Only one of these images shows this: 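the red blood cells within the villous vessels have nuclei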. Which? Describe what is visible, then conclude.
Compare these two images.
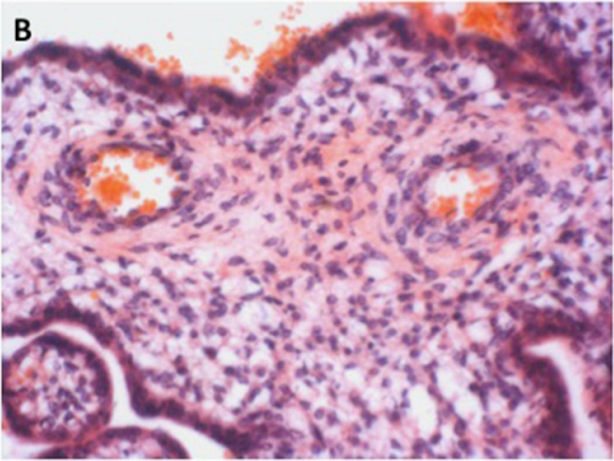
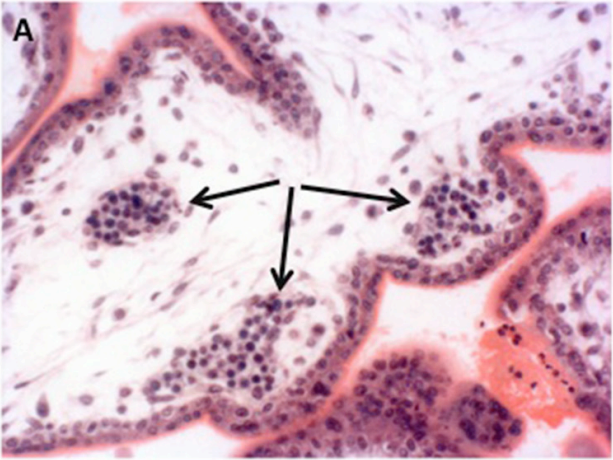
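First image: the vessels hold orange-red cells without dark nuclei. Second image: the clustered cells in the stroma each carry a dark round nucleus. The answer: the second image.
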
